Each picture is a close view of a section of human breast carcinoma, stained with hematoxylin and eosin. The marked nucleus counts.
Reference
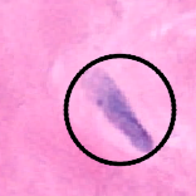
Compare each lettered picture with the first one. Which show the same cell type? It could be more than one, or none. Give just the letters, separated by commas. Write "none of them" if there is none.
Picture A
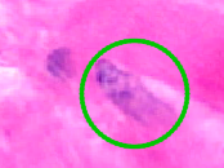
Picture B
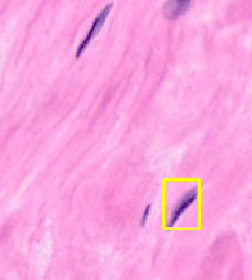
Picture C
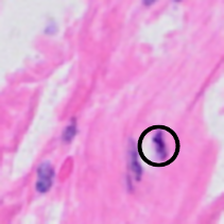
A, B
